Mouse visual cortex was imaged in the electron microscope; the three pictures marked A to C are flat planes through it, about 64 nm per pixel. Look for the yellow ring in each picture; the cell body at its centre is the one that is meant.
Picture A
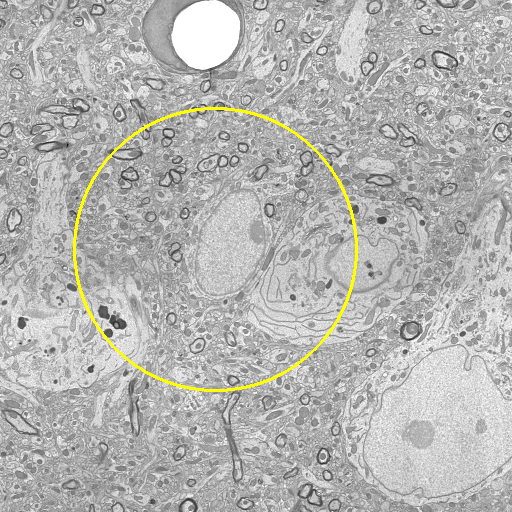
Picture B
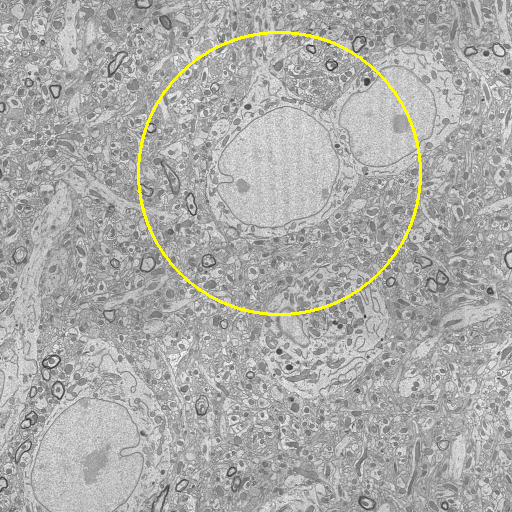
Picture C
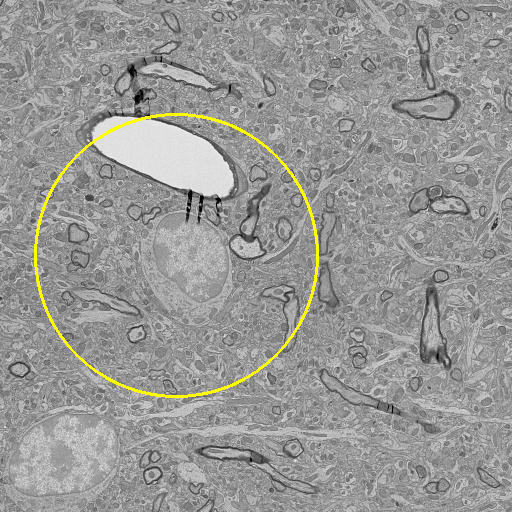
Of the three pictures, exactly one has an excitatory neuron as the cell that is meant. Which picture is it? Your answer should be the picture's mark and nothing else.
B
